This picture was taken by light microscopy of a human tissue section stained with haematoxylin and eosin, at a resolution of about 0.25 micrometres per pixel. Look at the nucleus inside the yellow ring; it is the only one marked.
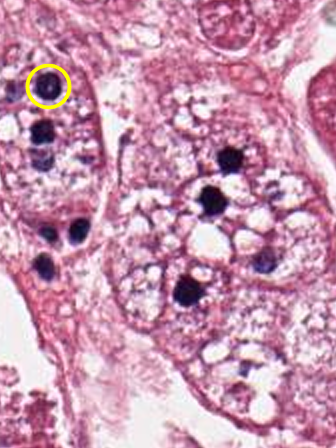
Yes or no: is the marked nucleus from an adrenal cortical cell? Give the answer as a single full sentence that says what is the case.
Yes, the nucleus indicated by the marking belongs to an adrenal cortical cell.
